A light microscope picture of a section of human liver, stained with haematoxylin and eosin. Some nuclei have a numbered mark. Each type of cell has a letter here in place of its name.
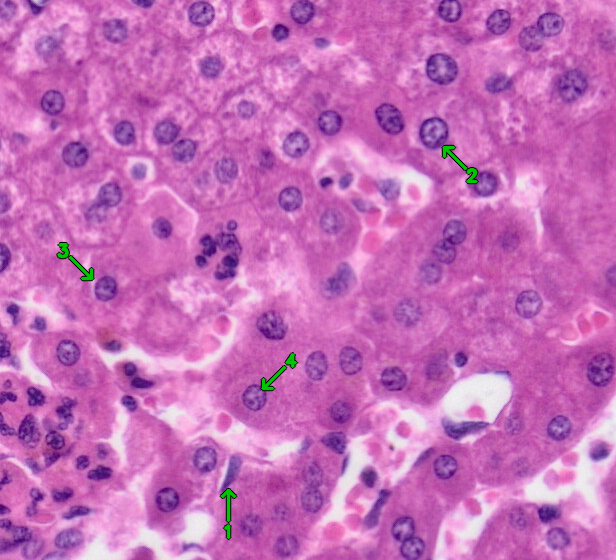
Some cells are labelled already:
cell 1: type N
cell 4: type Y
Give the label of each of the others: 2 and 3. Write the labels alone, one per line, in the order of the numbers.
type Y
type Y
